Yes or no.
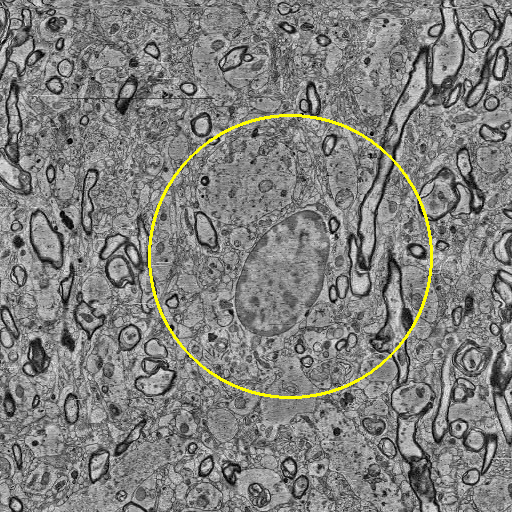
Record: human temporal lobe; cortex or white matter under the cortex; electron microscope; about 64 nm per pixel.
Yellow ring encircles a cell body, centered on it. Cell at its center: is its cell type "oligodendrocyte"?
no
